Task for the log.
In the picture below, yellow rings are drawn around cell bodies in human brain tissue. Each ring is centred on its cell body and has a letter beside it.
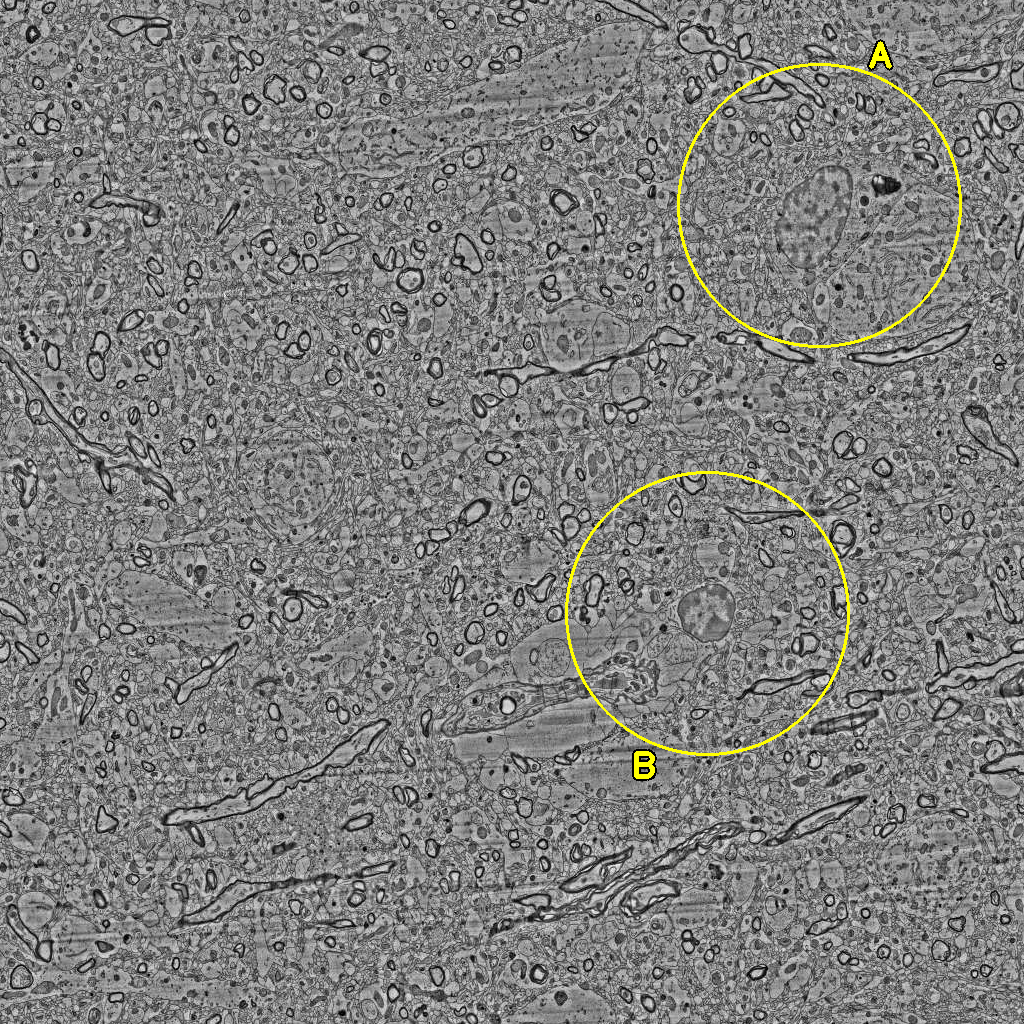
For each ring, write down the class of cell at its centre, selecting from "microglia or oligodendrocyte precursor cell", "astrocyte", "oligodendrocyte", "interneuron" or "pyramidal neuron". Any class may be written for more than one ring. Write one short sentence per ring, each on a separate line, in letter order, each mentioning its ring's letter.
The cell inside ring A, at its centre, is an oligodendrocyte.
The cell inside ring B, at its centre, is a microglial cell or oligodendrocyte precursor cell.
